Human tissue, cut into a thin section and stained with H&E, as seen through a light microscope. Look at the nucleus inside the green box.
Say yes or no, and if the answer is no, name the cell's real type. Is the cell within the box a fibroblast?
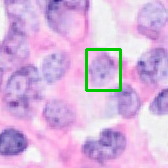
No, it is a carcinoma cell.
